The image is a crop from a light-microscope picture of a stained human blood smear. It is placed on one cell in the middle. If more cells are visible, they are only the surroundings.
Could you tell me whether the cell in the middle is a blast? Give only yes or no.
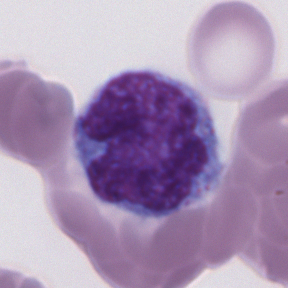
no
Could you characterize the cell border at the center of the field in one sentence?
Happy to help: the outline is smooth and shows no projections.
